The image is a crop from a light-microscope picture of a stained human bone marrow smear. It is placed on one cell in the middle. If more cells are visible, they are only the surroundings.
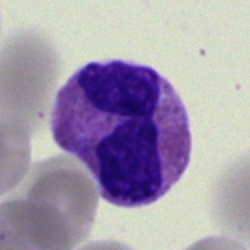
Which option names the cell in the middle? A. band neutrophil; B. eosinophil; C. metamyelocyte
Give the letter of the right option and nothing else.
B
